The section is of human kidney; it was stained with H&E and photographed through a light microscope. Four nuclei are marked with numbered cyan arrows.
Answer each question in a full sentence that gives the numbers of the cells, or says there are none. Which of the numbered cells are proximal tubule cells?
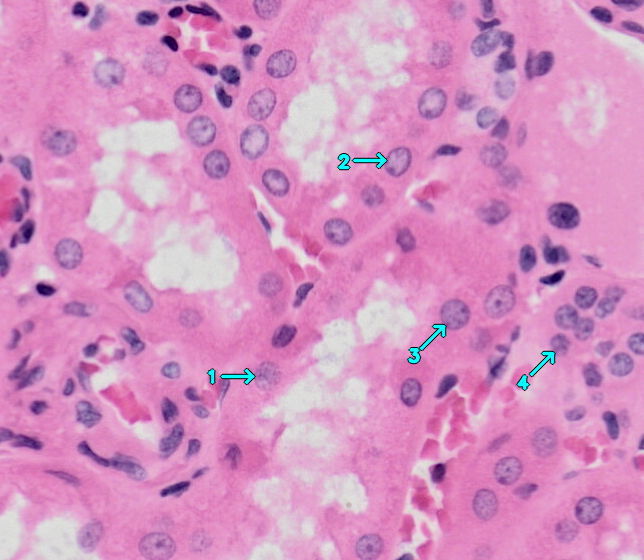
To be specific, the cells numbered 1, 2 and 3 are proximal tubule cells.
